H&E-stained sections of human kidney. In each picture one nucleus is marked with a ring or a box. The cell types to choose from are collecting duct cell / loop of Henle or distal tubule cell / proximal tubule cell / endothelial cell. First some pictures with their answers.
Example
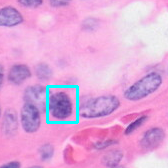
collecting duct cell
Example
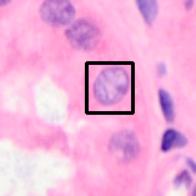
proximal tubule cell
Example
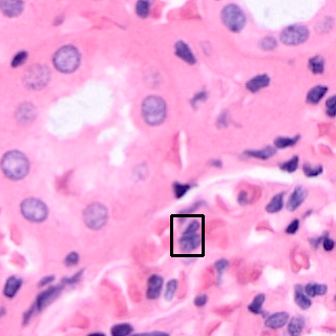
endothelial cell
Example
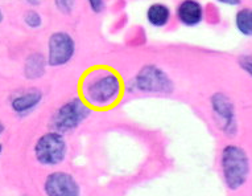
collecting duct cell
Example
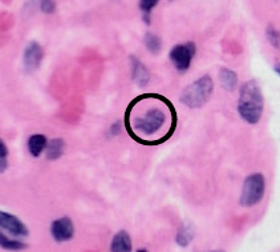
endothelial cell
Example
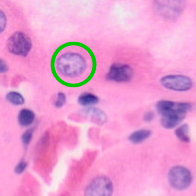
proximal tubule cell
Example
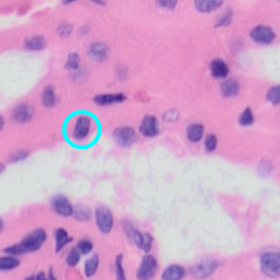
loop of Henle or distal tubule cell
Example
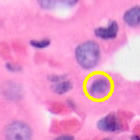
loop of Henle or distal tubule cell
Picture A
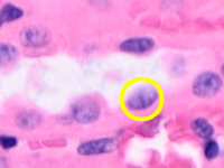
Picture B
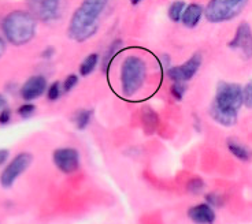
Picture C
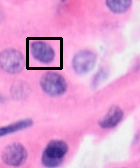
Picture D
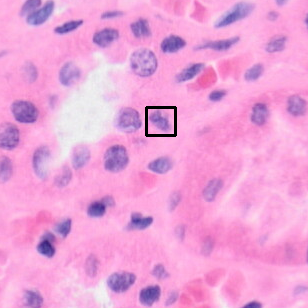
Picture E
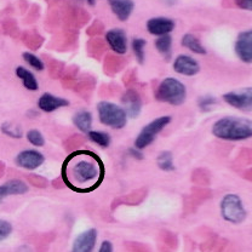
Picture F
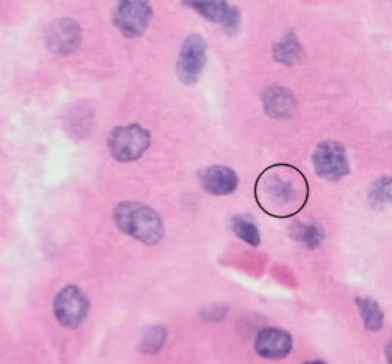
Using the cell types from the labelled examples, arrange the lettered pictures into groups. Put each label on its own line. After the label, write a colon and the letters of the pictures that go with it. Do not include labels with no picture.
loop of Henle or distal tubule cell: A, C, D, F
endothelial cell: B, E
